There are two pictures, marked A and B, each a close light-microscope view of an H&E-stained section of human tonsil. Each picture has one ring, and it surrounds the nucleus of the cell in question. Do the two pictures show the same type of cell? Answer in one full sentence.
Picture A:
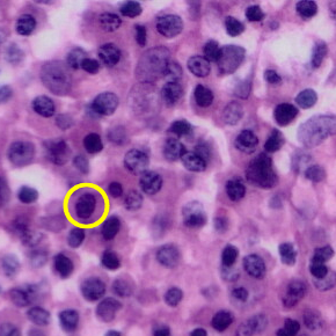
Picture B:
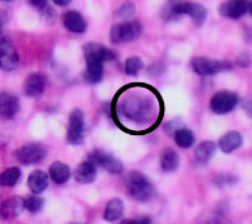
No, the types are not the same, since picture A shows a plasma cell and picture B a proliferating B cell.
